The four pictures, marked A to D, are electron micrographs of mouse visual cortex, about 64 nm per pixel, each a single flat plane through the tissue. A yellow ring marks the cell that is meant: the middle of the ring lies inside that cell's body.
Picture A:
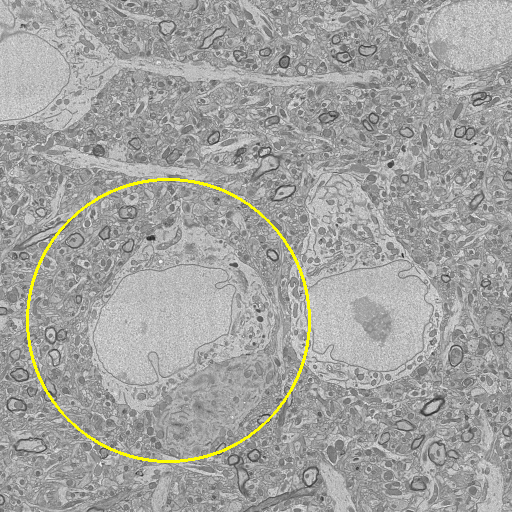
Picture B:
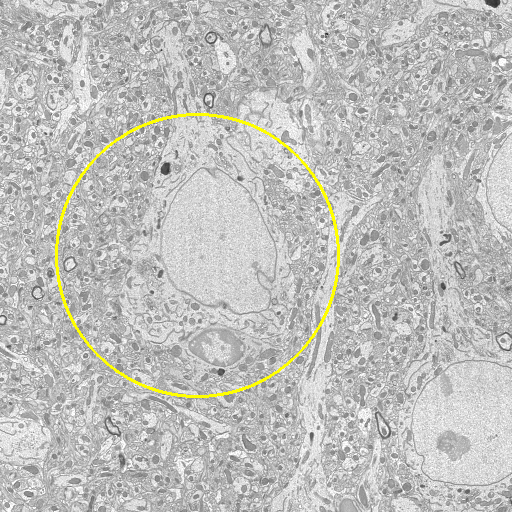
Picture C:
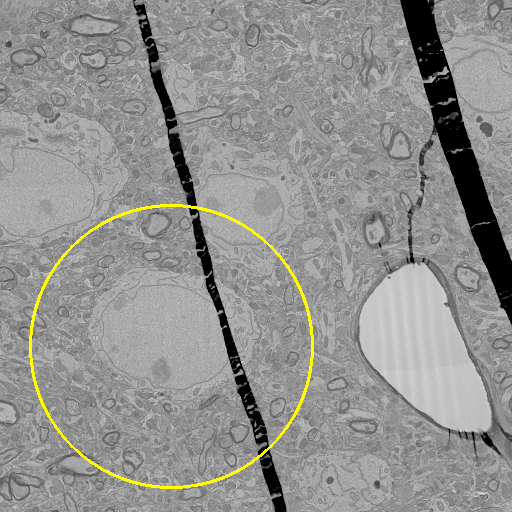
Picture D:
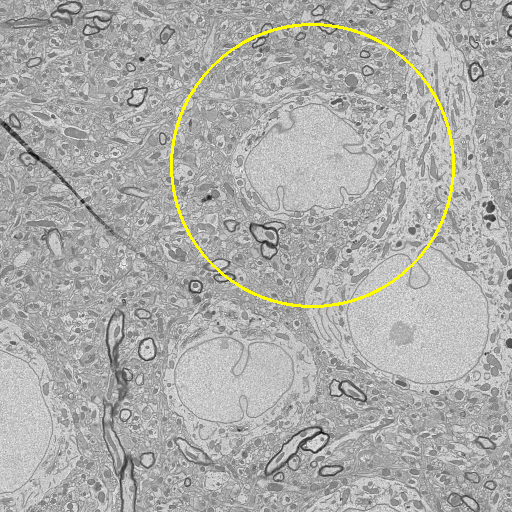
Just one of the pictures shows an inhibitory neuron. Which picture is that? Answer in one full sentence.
The cell in picture D is the inhibitory neuron.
